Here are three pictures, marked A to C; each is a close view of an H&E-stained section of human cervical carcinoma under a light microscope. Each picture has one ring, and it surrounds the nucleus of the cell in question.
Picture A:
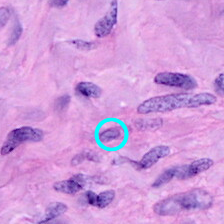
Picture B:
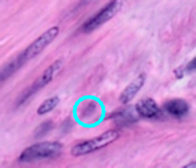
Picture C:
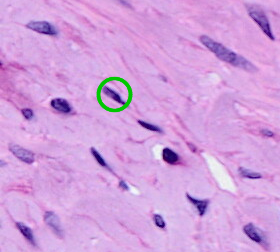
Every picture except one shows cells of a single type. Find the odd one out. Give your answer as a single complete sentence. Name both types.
All pictures except C show smooth muscle cells; picture C shows a fibroblast.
